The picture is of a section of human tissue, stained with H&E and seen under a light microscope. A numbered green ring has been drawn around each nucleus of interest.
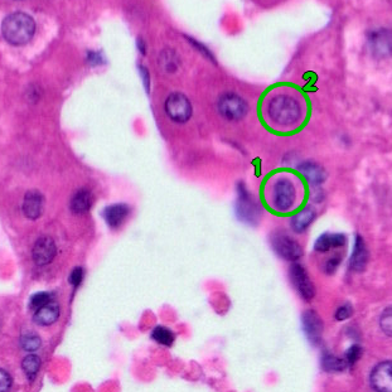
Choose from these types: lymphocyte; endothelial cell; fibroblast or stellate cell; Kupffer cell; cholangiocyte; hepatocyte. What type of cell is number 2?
hepatocyte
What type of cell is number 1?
cholangiocyte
